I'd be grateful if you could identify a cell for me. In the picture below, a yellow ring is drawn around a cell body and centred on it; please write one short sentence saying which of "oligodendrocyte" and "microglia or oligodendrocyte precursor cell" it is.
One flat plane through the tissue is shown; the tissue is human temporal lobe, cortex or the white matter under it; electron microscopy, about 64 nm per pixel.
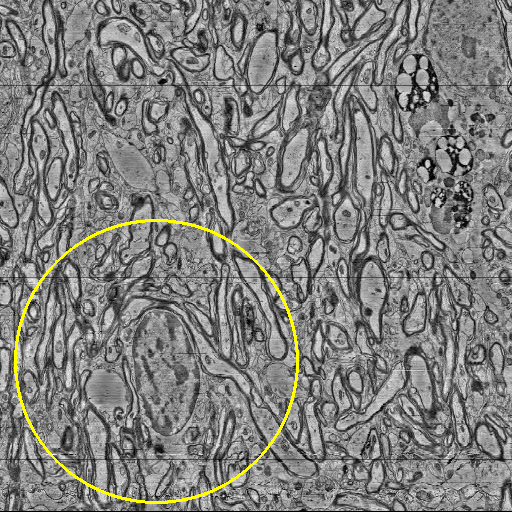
The cell under the ring's centre is a microglial cell or oligodendrocyte precursor cell.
